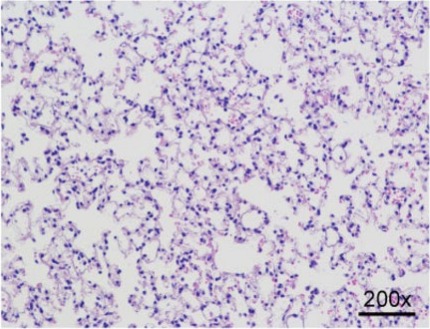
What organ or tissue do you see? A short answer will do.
lung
